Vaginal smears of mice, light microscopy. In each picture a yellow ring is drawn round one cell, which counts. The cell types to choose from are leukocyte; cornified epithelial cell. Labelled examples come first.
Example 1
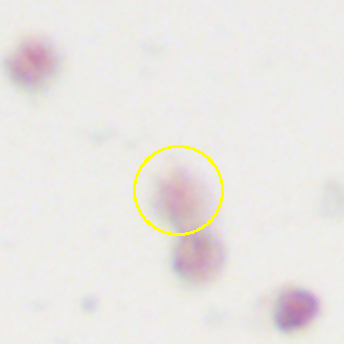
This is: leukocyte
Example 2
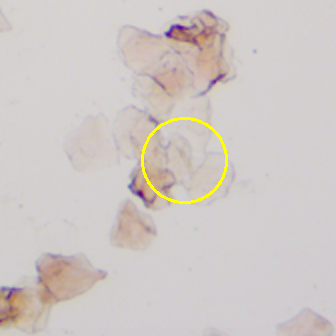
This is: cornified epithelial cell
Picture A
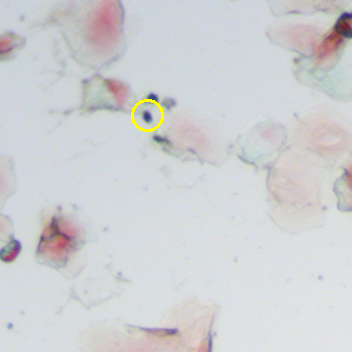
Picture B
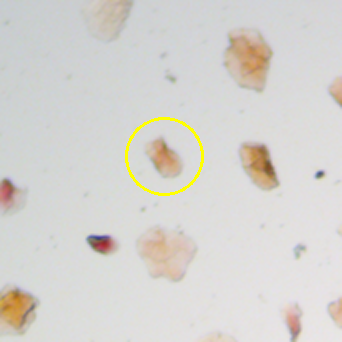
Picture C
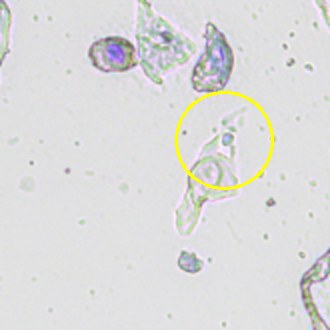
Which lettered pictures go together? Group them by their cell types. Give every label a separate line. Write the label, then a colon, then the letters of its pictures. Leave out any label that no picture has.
leukocyte: A
cornified epithelial cell: B, C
